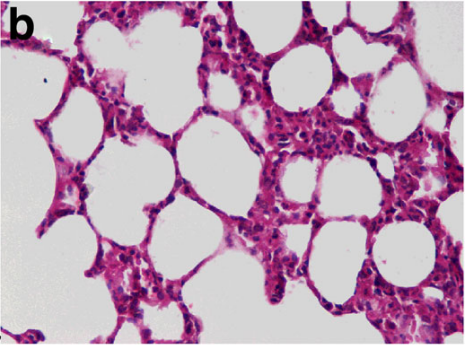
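Lung parenchyma made of rounded, clear airspaces of varying size, each bounded by pink septa that are thin in places and thicker where several spaces meet. The septa carry many dark purple, oval to elongated nuclei of the lining and wall cells. The airspaces themselves are empty: no free round red cells or loose nucleated cells lie within them. This is alveolar tissue whose overall architecture is largely preserved, with open alveoli and no red blood cells in the airspaces.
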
